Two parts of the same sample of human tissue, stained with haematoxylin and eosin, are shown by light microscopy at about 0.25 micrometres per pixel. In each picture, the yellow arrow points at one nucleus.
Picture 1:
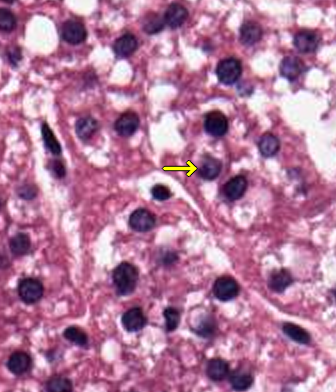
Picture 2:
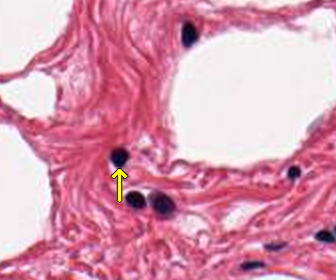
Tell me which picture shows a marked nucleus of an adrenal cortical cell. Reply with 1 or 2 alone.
1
